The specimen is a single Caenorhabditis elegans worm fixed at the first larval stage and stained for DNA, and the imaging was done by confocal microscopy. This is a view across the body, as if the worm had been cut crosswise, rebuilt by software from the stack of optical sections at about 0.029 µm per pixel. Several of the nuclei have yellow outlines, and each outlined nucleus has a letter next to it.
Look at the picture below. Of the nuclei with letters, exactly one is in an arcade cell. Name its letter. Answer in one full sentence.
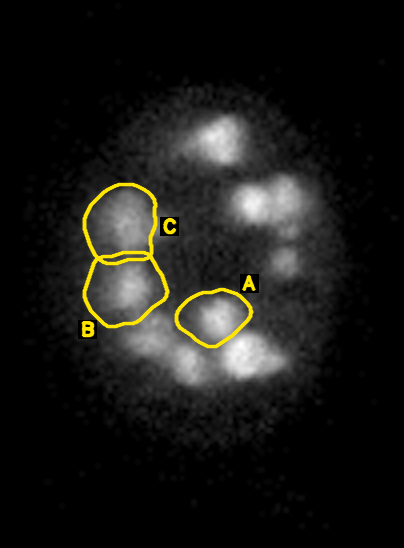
Of the marked nuclei, B is the one in an arcade cell.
